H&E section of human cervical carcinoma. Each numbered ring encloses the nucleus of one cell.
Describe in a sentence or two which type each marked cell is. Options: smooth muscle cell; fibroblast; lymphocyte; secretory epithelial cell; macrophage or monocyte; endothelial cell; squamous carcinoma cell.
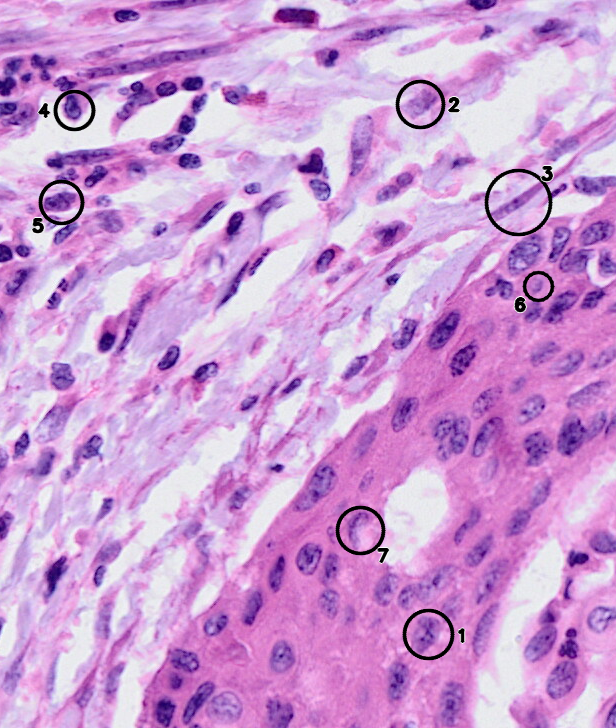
Cells 1, 6 and 7 are squamous carcinoma cells. Cells 2 and 3 are fibroblasts. Cell 4 is a lymphocyte. Cell 5 is a macrophage or monocyte.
